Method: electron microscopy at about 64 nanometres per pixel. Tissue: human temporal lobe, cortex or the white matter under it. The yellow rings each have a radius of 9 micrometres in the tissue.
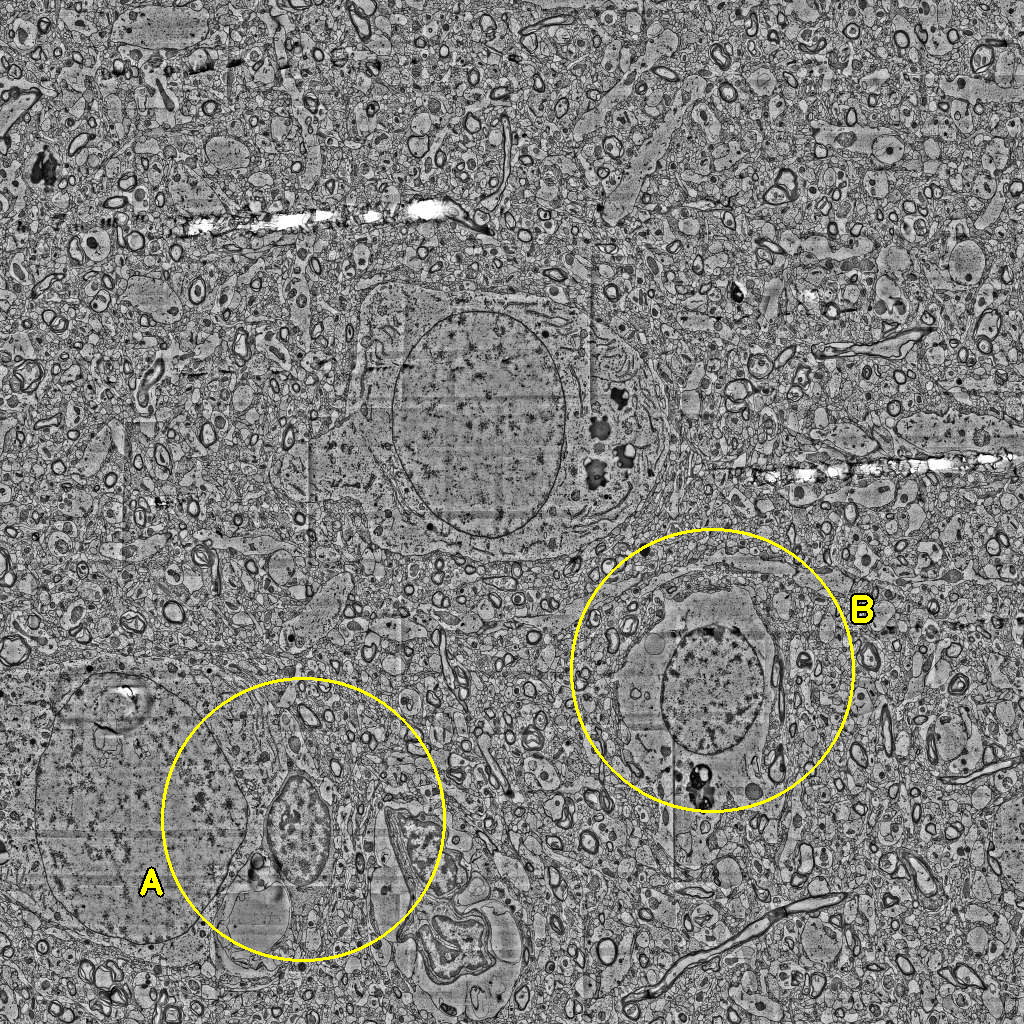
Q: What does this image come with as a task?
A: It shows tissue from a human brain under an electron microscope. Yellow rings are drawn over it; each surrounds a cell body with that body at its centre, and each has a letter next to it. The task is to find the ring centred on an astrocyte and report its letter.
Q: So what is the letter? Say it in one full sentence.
It is B, the letter of the ring centred on the cell asked for in the picture.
